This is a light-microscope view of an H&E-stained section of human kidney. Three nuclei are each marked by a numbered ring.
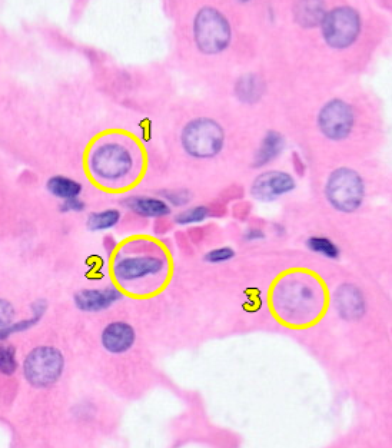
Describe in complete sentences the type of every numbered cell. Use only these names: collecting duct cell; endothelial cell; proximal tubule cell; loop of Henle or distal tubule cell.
Cell 1 is a proximal tubule cell, cell 2 is an endothelial cell and cell 3 is a proximal tubule cell.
